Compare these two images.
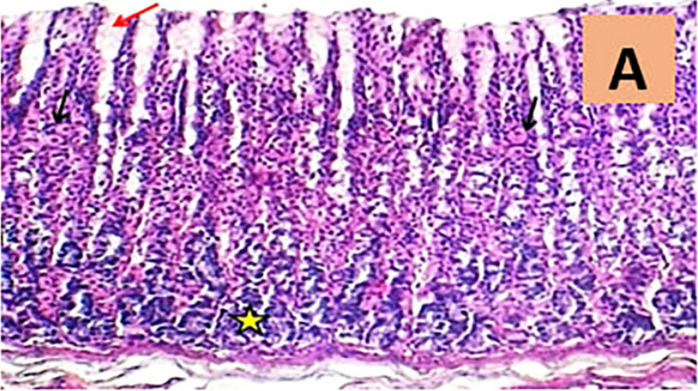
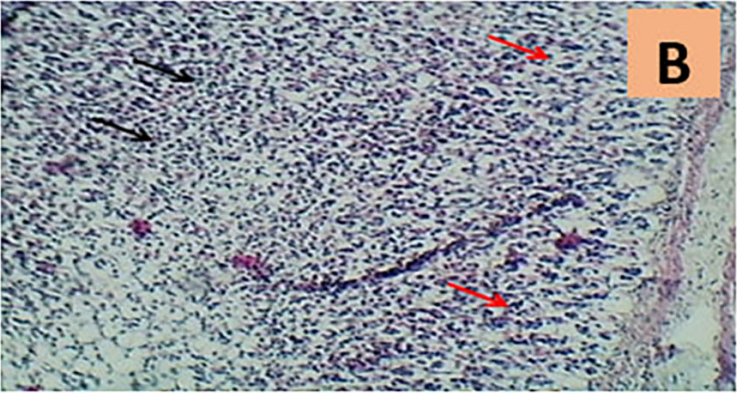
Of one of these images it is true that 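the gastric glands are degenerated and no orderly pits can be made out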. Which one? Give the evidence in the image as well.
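Second image: the mucosa is a disordered sheet of scattered nuclei with pale spaces and no regular glands or pits. First image: regular vertical glands and pits run from the surface to the base. That points to this answer: the second image.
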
